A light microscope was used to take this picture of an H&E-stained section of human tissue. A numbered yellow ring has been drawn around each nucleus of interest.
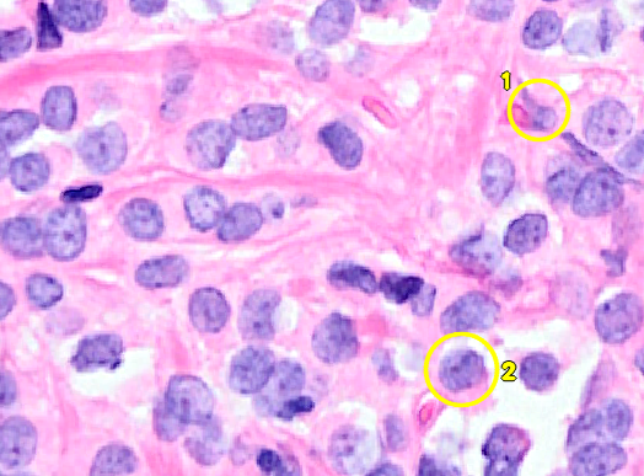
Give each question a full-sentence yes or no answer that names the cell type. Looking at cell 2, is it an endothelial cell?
No, cell 2 should be classed as a carcinoma cell, not as an endothelial cell.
